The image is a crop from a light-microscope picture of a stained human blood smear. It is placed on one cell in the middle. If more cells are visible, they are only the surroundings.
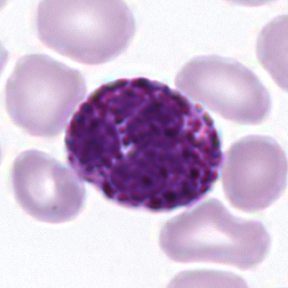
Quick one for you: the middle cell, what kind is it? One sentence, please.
Occupying the centre of the crop is a basophil.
